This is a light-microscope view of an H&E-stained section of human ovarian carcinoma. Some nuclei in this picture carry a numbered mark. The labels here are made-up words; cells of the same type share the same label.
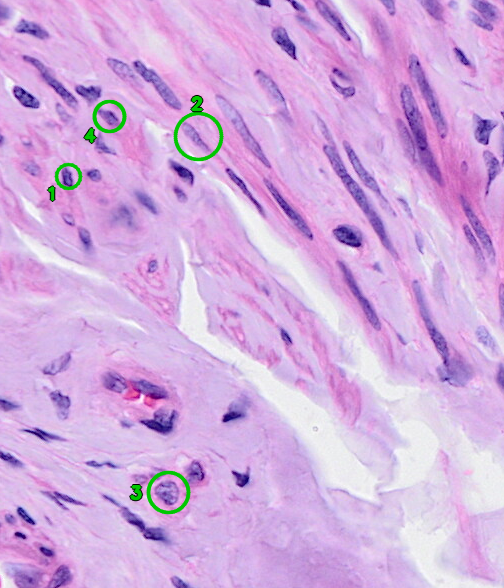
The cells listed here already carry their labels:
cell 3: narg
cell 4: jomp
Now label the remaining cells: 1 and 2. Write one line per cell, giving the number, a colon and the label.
1: jomp
2: jomp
